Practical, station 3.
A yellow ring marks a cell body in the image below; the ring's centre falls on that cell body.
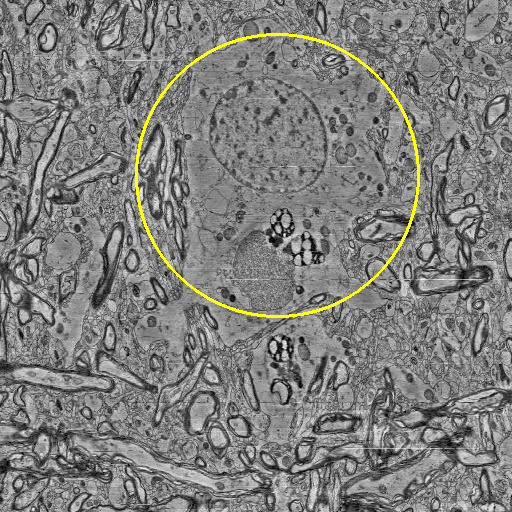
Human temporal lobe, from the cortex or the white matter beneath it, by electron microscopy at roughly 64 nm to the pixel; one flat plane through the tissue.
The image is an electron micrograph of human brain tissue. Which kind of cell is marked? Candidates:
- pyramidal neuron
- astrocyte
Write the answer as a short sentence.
The marked cell body is that of an astrocyte.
